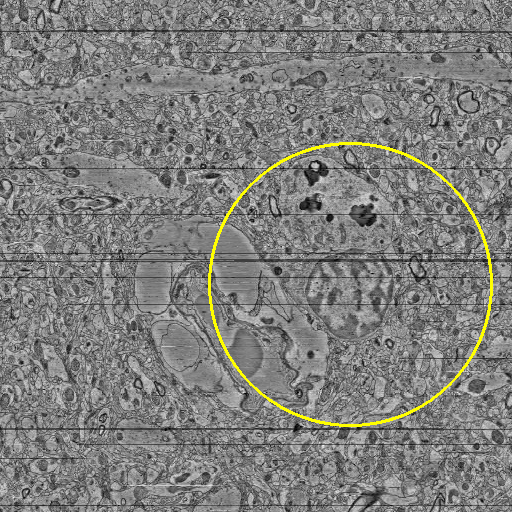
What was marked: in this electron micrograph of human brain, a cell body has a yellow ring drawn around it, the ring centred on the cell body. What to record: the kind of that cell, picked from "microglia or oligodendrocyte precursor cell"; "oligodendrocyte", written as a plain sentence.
The centred cell is an oligodendrocyte.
